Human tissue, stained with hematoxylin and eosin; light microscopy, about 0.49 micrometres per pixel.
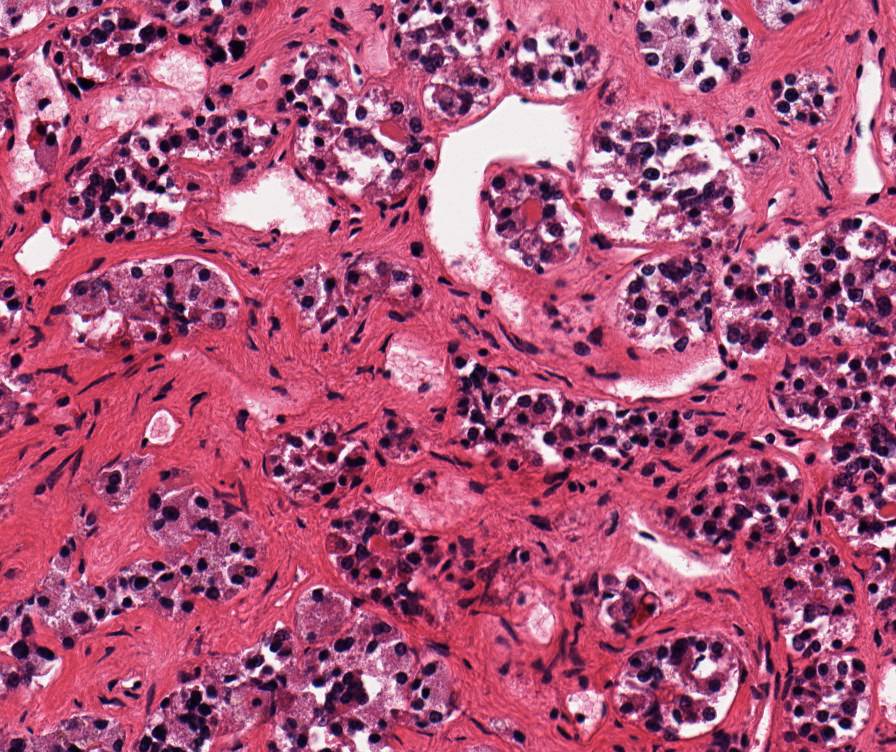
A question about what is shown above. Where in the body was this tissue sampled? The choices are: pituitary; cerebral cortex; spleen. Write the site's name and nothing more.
pituitary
